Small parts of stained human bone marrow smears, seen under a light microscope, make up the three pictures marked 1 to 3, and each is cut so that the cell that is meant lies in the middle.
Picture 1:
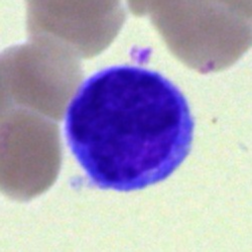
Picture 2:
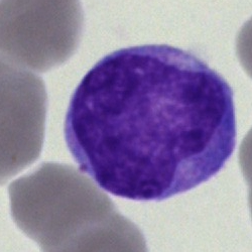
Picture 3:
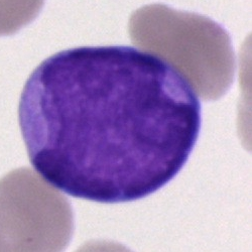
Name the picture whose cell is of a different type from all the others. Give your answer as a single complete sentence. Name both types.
The different one is picture 3; it shows a blast, whereas all the others show monocytes.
